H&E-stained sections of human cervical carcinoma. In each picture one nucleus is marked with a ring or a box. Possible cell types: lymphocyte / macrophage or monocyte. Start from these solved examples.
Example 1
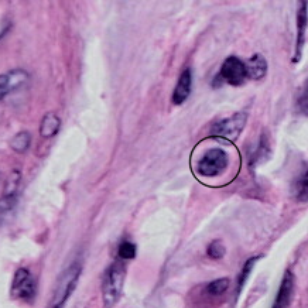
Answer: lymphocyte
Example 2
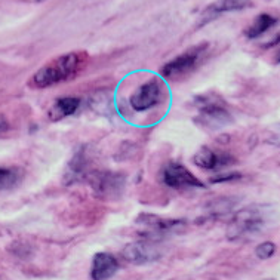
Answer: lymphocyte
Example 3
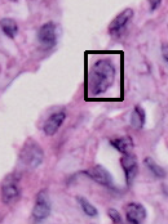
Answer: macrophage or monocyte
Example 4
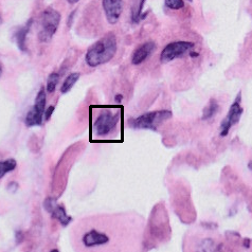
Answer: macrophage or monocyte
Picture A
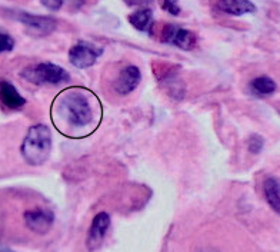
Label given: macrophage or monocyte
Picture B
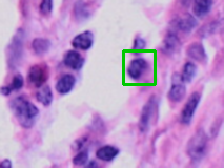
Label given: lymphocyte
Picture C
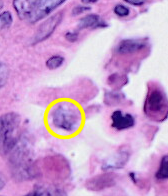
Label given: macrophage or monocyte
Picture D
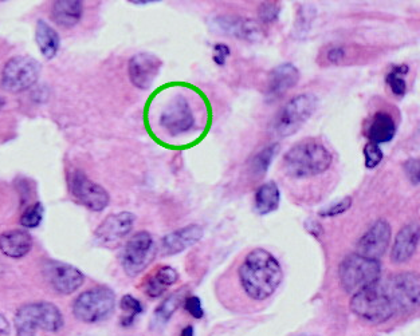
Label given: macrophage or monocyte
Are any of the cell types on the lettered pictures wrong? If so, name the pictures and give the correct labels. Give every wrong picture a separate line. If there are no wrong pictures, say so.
No label is wrong.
